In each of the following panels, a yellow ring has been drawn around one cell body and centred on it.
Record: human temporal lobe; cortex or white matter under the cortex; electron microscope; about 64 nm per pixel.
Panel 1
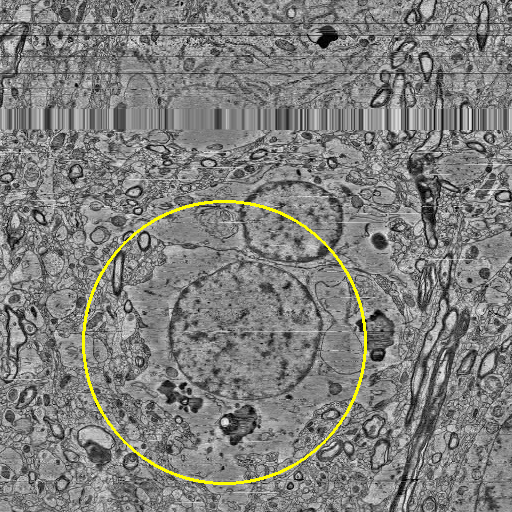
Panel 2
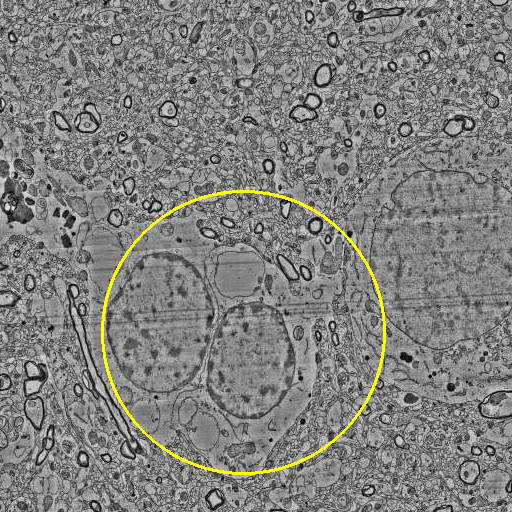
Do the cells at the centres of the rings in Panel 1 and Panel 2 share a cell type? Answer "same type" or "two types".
same type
